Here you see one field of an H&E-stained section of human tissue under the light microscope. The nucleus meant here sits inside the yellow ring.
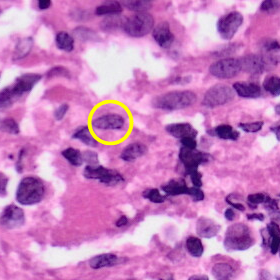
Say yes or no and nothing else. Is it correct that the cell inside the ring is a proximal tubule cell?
no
